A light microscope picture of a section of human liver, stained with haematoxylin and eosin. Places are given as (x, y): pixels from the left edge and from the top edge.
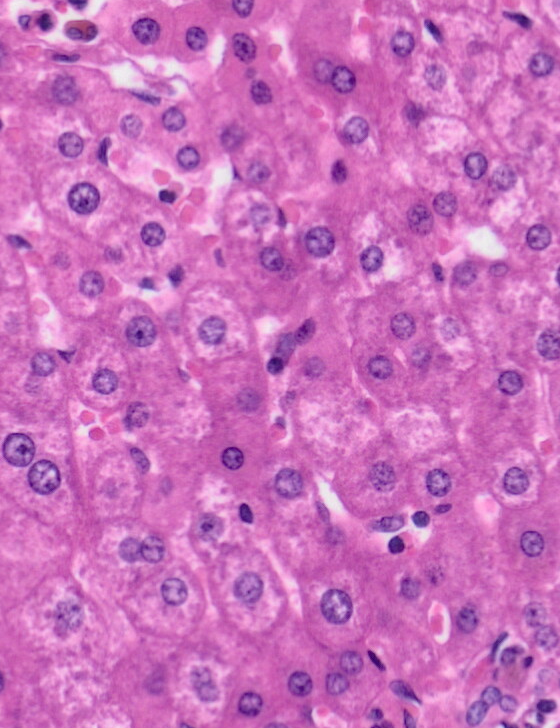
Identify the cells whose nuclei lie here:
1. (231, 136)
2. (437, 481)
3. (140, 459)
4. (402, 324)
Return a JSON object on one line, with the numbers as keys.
{"1": "hepatocyte", "2": "hepatocyte", "3": "Kupffer cell", "4": "hepatocyte"}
